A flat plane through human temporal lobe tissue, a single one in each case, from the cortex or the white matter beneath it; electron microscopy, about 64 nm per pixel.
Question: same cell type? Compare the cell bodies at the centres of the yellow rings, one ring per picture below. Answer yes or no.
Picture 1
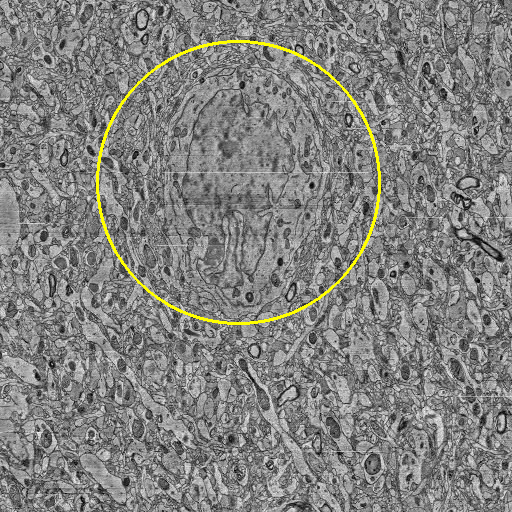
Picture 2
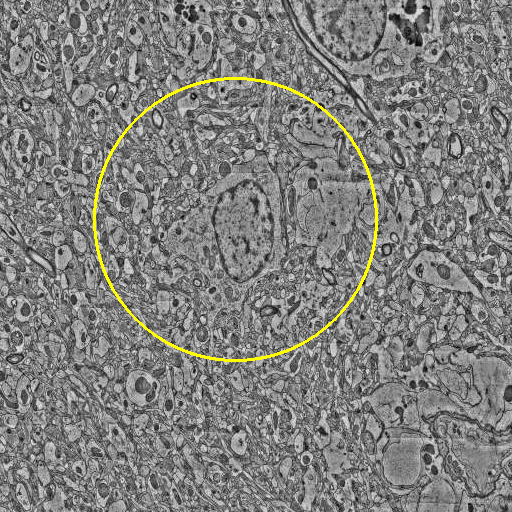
no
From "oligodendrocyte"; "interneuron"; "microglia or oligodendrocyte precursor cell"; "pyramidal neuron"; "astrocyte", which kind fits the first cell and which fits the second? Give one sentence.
The cell marked in the first picture is an interneuron, and the one marked in the second is a microglial cell or oligodendrocyte precursor cell.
